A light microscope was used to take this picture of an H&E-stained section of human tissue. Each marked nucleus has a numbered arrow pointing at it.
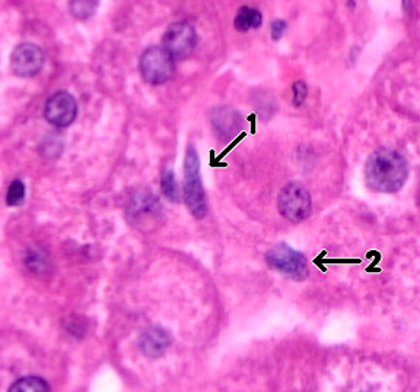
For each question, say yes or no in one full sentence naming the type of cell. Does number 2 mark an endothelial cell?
Yes, the cell given number 2 is an endothelial cell.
